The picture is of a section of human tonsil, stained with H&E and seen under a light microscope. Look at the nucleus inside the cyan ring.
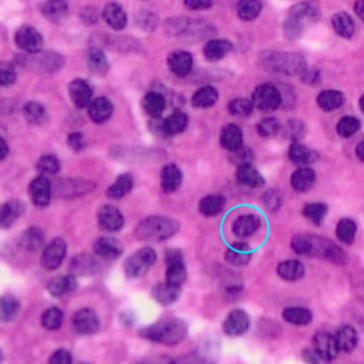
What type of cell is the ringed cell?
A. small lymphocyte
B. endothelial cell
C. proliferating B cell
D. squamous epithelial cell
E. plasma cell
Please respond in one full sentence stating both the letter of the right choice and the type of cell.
In agreement with option E, the ringed cell is a plasma cell.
